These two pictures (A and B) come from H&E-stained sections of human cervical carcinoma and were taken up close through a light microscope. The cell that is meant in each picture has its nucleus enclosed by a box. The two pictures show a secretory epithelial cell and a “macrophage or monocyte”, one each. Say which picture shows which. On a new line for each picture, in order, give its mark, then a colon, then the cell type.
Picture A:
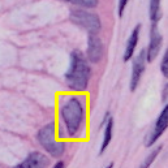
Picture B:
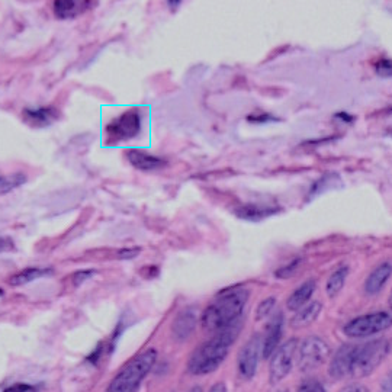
A: secretory epithelial cell
B: macrophage or monocyte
